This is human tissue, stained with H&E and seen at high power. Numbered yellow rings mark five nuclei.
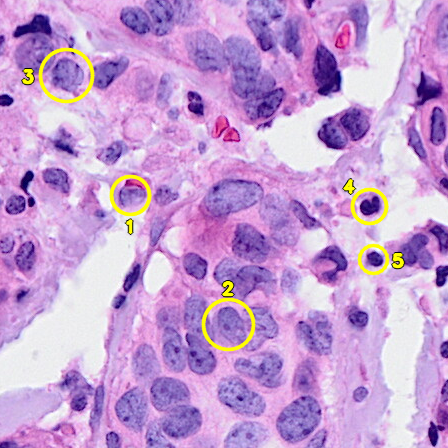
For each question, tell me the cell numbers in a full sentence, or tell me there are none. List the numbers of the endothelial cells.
Cell 1 is the only one of the numbered cells that is an endothelial cell.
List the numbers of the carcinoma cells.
The cells that have been numbered 2 and 3 are carcinoma cells.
